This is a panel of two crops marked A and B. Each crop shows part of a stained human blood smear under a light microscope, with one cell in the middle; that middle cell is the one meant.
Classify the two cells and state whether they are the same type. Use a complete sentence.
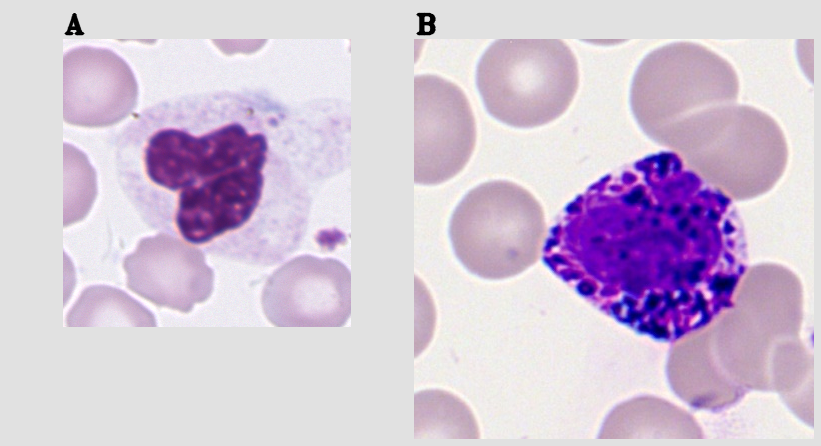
No, crop A has a segmented neutrophil in the middle, and crop B has a basophil.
